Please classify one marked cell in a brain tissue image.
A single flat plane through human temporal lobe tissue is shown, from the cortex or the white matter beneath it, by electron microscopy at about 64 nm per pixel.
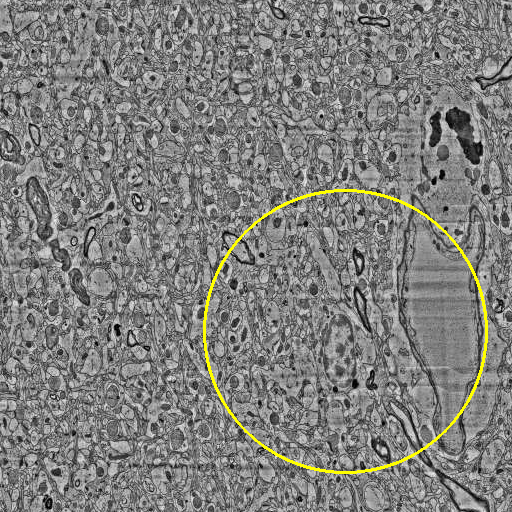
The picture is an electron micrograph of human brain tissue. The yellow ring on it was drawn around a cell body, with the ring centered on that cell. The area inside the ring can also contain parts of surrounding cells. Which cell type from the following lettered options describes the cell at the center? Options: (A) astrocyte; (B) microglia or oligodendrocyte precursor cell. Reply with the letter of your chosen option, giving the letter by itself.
B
